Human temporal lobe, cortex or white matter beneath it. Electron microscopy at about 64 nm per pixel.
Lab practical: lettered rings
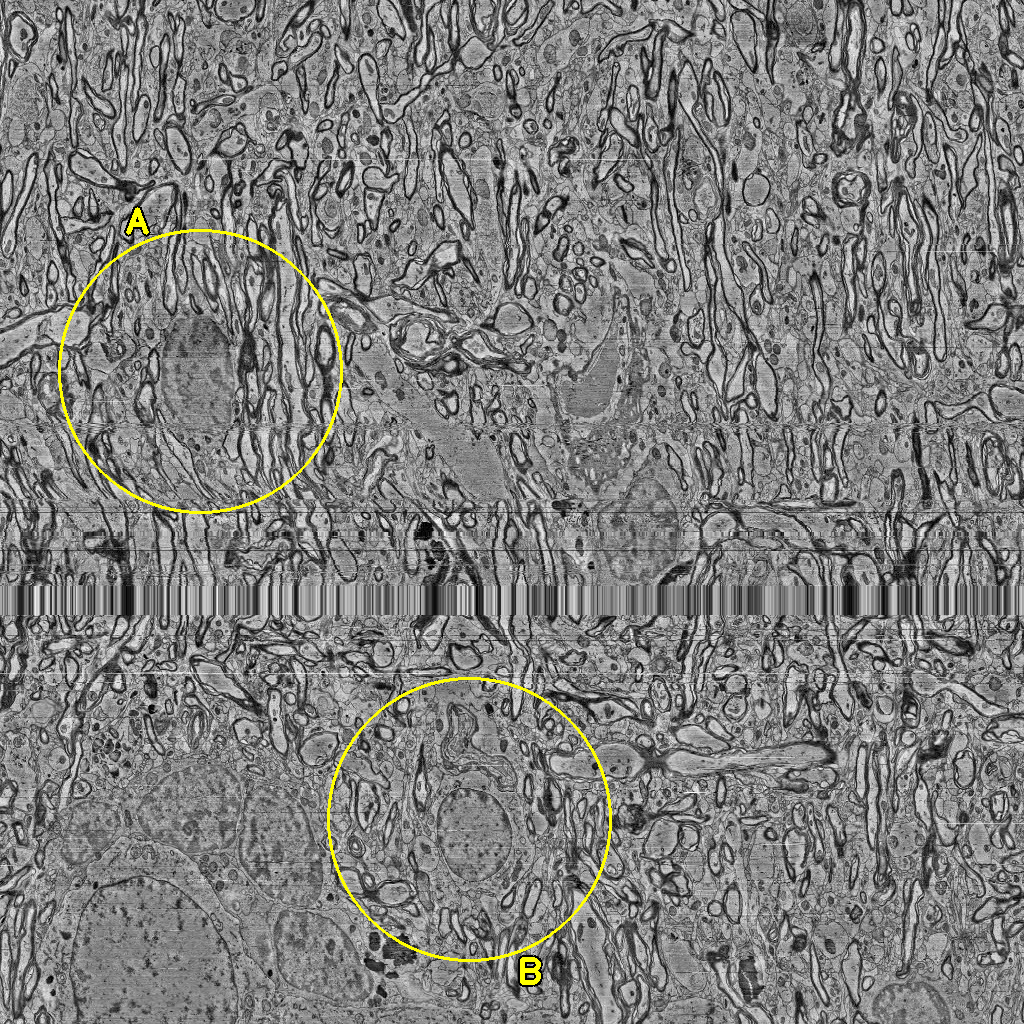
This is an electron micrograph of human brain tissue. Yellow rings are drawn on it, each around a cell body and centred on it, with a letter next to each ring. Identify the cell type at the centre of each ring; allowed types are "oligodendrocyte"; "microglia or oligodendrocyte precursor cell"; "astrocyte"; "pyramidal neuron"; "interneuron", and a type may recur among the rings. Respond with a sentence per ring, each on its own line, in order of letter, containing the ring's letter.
Lying at the centre of ring A is an oligodendrocyte.
Lying at the centre of ring B is a microglial cell or oligodendrocyte precursor cell.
